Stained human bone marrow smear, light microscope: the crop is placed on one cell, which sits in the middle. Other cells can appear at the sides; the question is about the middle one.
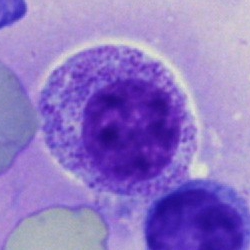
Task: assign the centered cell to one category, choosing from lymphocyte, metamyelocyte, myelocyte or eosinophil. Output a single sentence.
The cell shown in the center of this light-microscope crop is a myelocyte.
